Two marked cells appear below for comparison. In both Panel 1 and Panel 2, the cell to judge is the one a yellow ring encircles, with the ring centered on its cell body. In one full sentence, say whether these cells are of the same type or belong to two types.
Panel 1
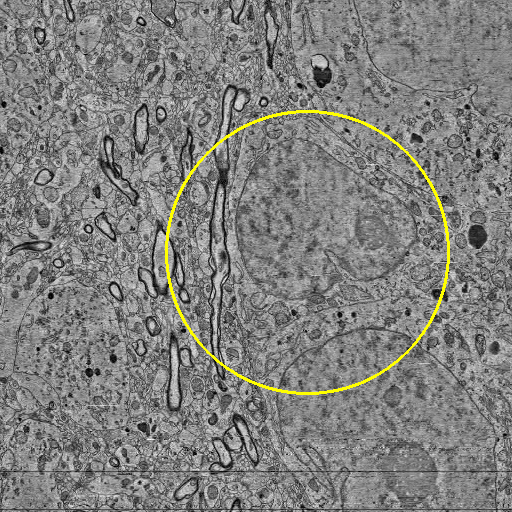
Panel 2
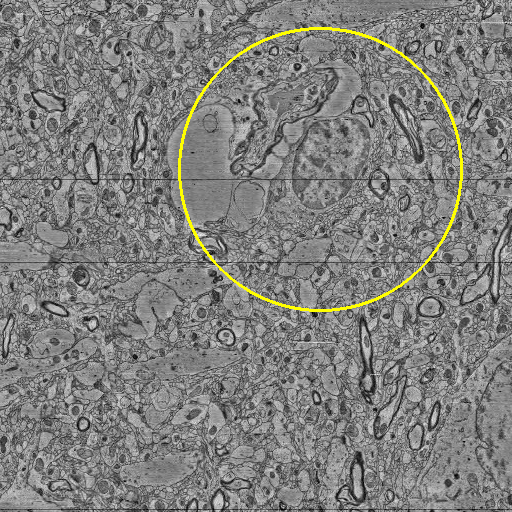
The cell centered in the Panel 1 ring and the one in Panel 2 belong to two types.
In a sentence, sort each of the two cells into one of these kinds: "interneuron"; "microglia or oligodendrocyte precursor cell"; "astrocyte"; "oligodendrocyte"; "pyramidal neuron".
The first of the two cells is an interneuron, and the second is an oligodendrocyte.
